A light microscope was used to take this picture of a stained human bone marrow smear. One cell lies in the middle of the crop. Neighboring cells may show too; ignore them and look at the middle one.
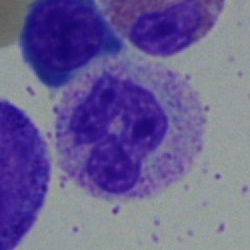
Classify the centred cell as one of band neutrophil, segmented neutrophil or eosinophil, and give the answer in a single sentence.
The single cell at the center of the crop is a segmented neutrophil.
